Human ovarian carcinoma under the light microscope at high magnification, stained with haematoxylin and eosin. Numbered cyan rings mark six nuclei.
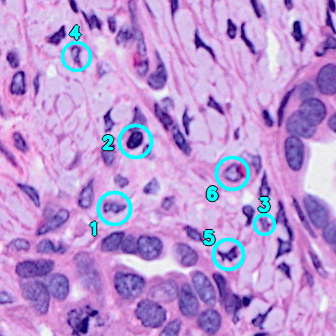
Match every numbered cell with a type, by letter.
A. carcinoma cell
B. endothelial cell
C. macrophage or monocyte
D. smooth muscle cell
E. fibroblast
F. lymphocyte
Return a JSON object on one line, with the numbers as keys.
{"1": "E", "2": "F", "3": "E", "4": "E", "5": "E", "6": "B"}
